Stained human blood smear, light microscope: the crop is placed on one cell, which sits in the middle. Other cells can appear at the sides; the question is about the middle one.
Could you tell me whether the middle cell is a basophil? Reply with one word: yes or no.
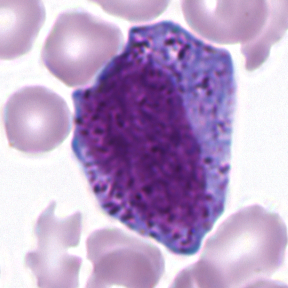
no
